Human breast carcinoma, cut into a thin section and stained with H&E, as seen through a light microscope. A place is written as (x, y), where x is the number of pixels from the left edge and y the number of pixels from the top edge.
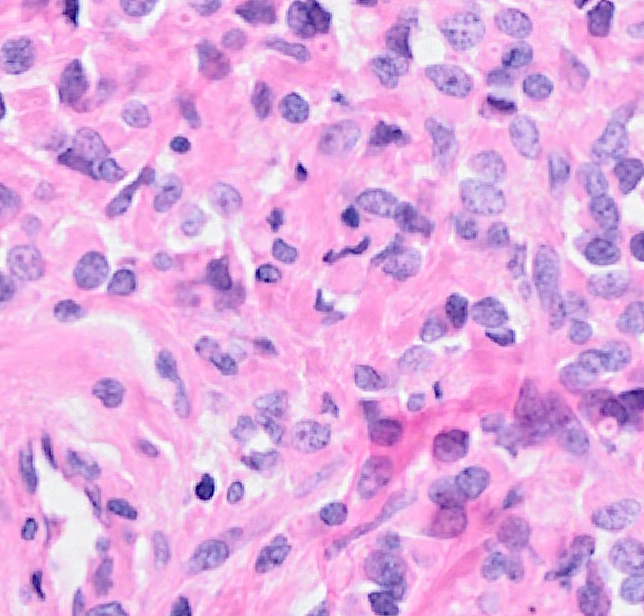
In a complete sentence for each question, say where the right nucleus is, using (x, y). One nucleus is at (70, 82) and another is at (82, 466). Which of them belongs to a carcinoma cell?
Of the two nuclei, the one sitting at (70, 82) belongs to a carcinoma cell.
